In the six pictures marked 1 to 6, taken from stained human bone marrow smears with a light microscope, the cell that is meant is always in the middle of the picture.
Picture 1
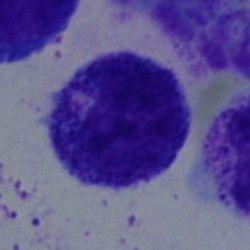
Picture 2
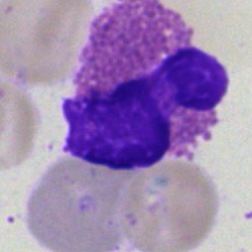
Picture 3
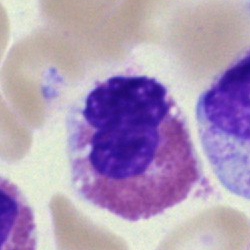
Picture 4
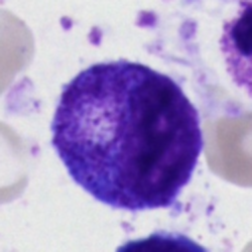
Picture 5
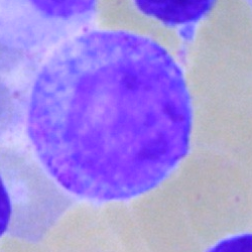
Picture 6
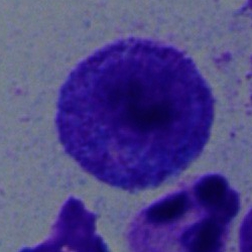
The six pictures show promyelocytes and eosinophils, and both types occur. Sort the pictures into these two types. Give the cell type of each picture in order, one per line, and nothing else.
promyelocyte
eosinophil
eosinophil
promyelocyte
promyelocyte
promyelocyte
